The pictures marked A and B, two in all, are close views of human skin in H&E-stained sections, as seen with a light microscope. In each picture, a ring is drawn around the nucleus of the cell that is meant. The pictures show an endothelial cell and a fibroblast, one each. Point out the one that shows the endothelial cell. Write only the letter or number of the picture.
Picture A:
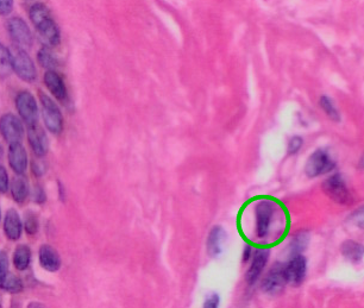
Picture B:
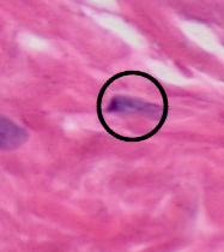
A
